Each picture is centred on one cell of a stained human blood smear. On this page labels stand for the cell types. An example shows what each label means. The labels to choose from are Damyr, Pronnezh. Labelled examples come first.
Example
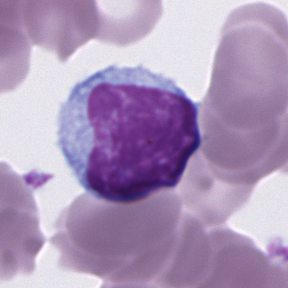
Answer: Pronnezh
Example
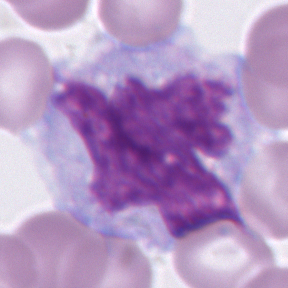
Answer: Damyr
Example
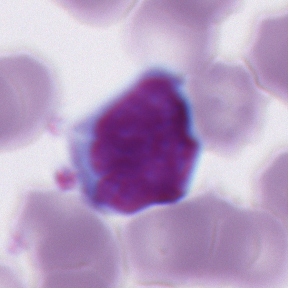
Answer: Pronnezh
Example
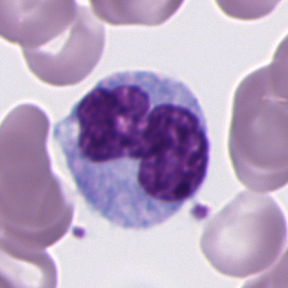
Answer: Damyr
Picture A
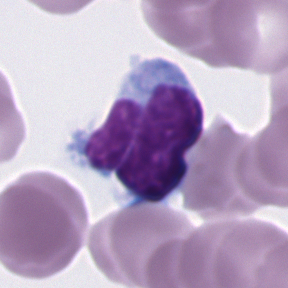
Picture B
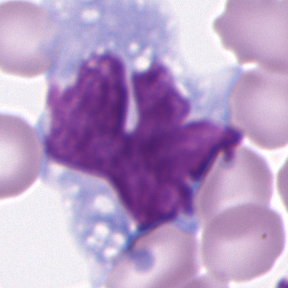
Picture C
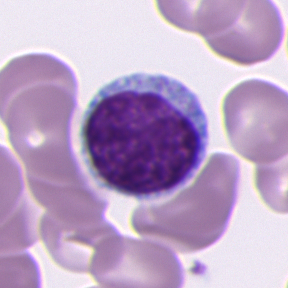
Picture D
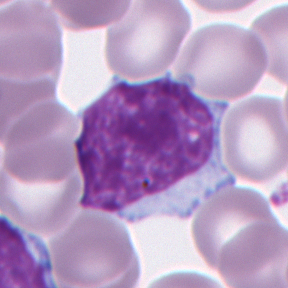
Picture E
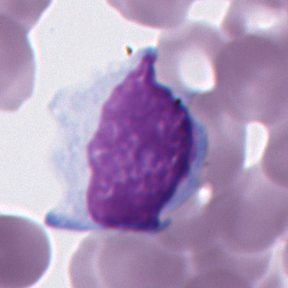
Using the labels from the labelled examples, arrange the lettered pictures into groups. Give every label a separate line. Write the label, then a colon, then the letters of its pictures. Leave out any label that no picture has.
Damyr: B
Pronnezh: A, C, D, E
